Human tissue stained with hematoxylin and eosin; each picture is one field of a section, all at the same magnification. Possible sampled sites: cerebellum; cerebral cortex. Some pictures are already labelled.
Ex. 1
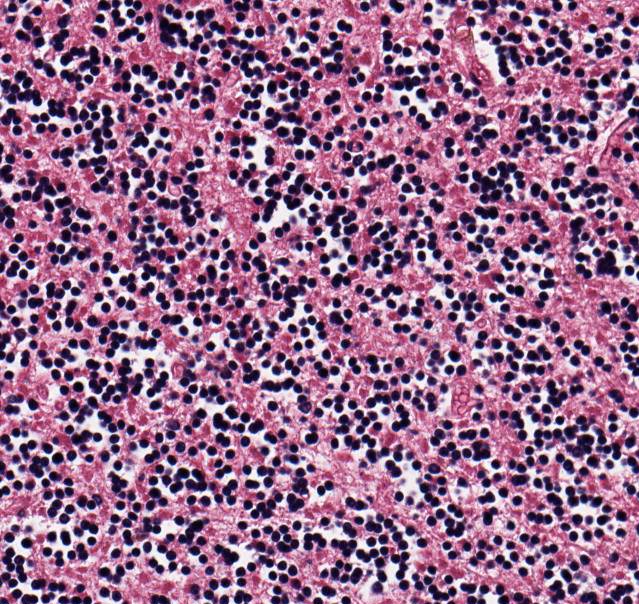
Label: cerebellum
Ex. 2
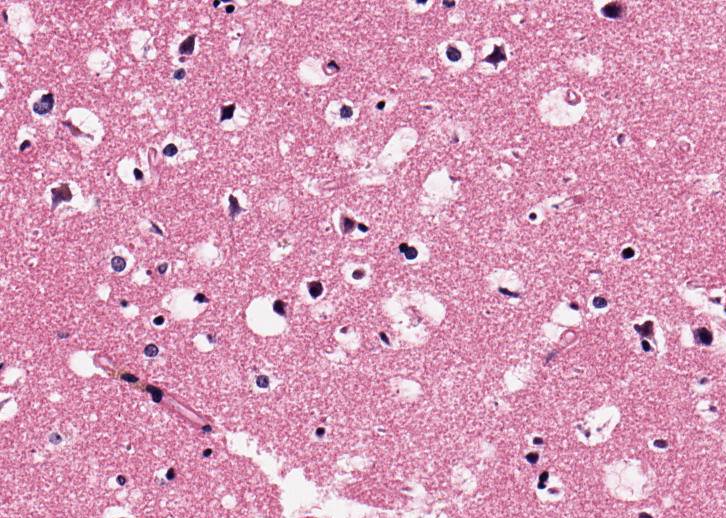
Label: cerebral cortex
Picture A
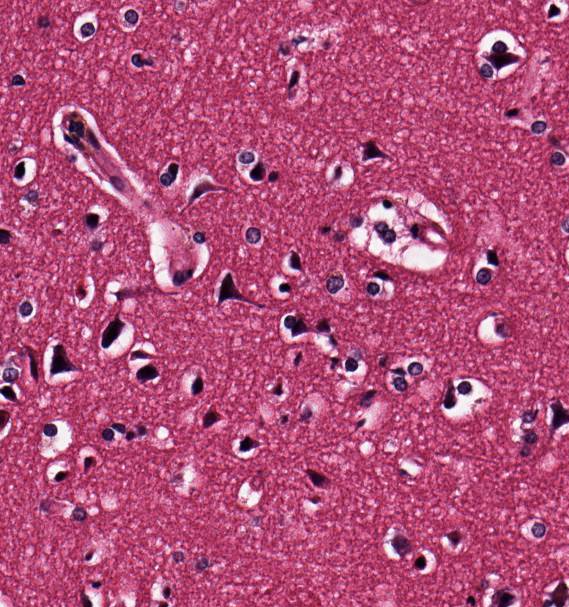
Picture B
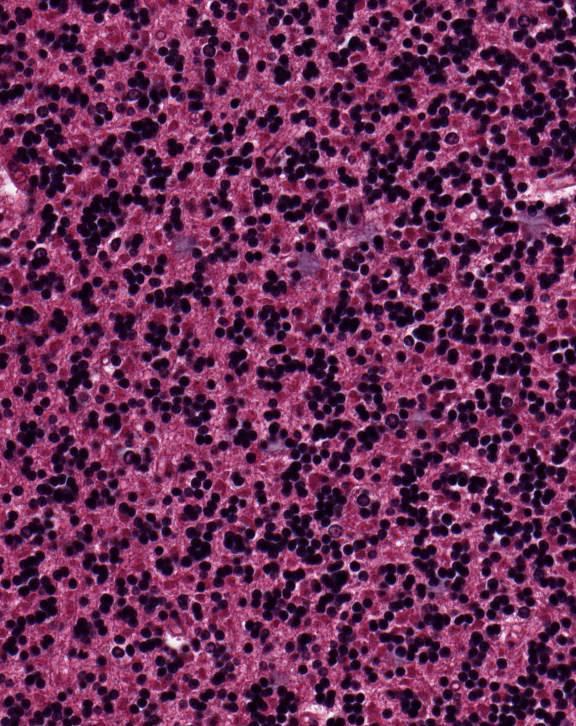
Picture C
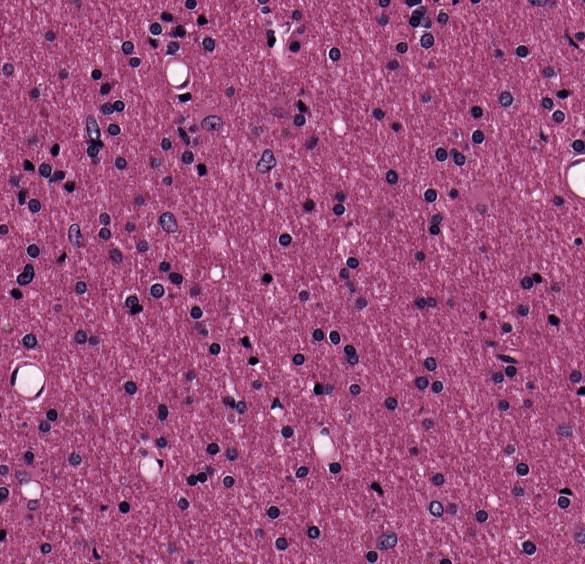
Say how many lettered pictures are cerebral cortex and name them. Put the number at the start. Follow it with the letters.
2, namely A, C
